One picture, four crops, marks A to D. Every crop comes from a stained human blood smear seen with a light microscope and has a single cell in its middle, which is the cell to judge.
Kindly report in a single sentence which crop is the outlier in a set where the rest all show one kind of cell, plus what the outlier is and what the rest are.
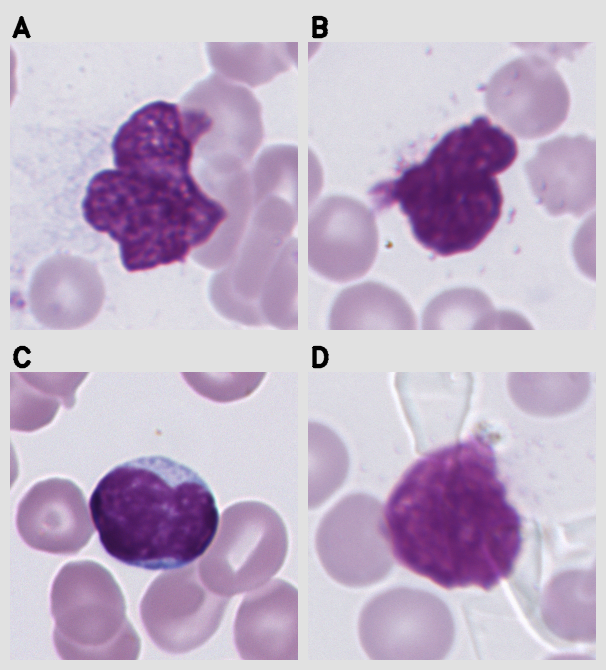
Whereas the other crops all show smudge cells, crop C shows a typical lymphocyte.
